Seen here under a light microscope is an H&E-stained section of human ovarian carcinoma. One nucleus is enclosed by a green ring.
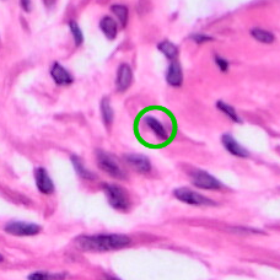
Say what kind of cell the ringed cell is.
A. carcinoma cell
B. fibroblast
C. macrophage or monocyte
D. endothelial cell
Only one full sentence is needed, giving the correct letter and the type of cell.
Of the options offered, B is correct, as the ringed cell is a fibroblast.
